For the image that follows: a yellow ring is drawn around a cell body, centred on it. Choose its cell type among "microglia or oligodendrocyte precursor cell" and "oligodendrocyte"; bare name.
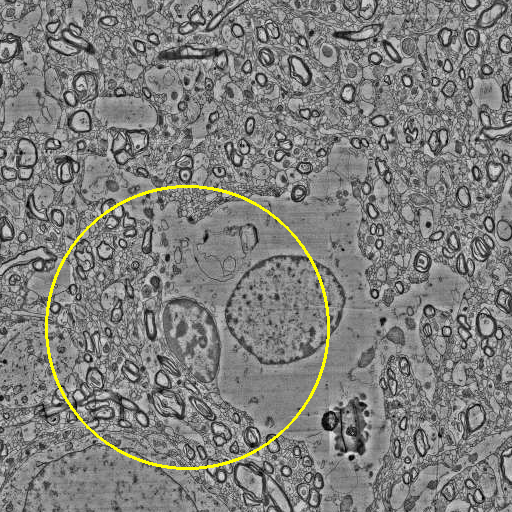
microglia or oligodendrocyte precursor cell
